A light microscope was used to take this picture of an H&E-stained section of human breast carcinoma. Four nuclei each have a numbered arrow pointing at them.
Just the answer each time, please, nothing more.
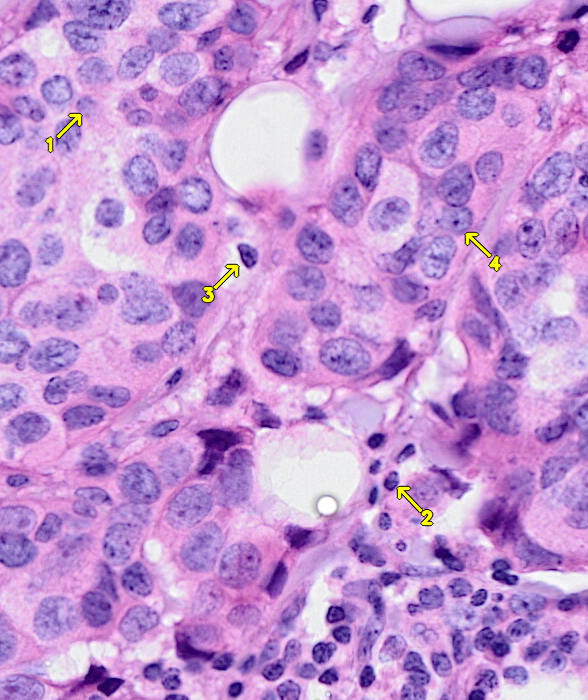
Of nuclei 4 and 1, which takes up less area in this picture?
1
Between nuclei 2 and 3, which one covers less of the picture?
2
